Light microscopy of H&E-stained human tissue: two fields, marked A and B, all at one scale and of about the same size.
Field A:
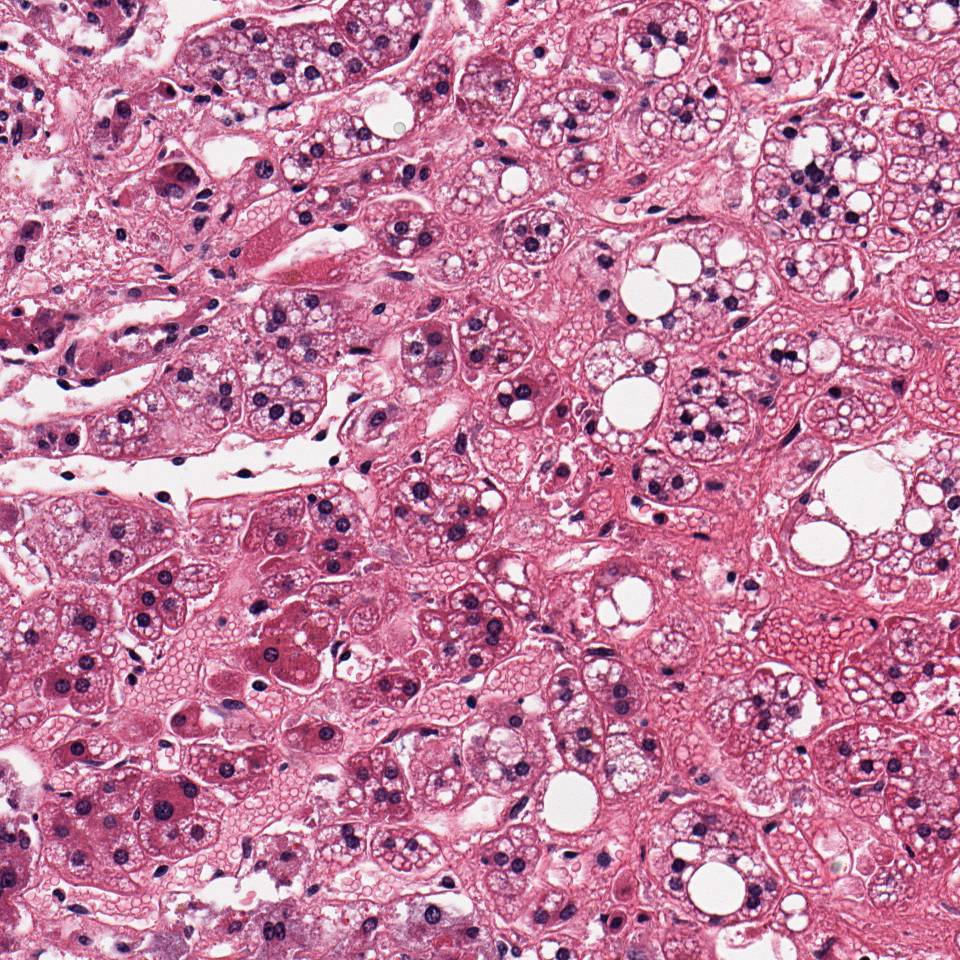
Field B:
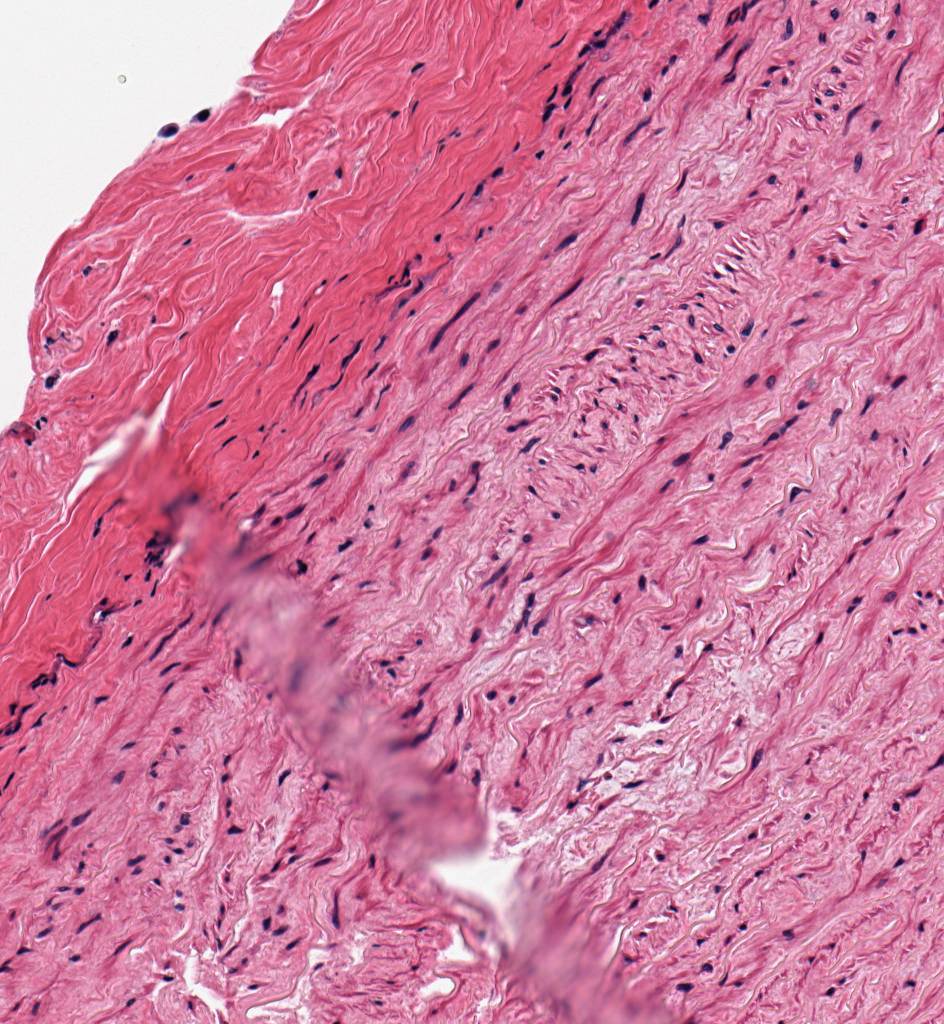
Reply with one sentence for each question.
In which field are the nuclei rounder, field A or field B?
Rounder nuclei lie in field A.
